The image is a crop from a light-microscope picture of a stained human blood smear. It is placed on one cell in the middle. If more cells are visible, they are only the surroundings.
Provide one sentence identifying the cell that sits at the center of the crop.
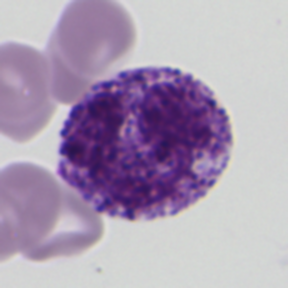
Classified as a basophil is the cell in the middle of this crop.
